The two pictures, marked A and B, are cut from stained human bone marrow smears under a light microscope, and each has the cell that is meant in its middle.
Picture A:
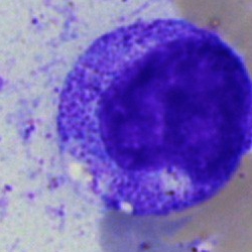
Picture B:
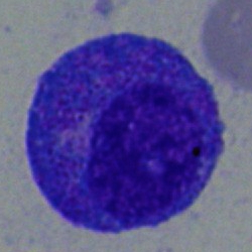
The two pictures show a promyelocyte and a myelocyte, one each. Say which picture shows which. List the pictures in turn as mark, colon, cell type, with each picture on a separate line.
A: myelocyte
B: promyelocyte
